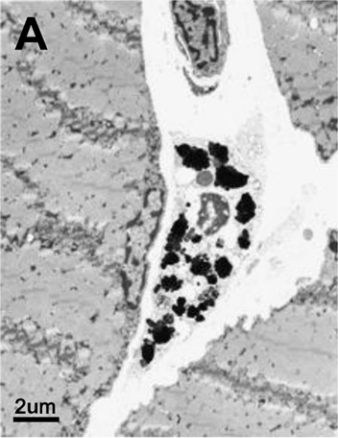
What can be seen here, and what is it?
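Here we are between skeletal muscle fibers, whose cross-striated myofibrils fill the grey areas on either side. In the pale space between them lies an elongated histiocyte. Its cytoplasm is crowded with many irregular, intensely black granules of varying size, scattered around a paler region where part of the nucleus can be seen. These dense granules are far darker than anything in the neighbouring muscle. Above it, in the same interstitial space, sits another cell with a dark-rimmed nucleus. The surrounding space is wide and pale, with little material in it.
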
